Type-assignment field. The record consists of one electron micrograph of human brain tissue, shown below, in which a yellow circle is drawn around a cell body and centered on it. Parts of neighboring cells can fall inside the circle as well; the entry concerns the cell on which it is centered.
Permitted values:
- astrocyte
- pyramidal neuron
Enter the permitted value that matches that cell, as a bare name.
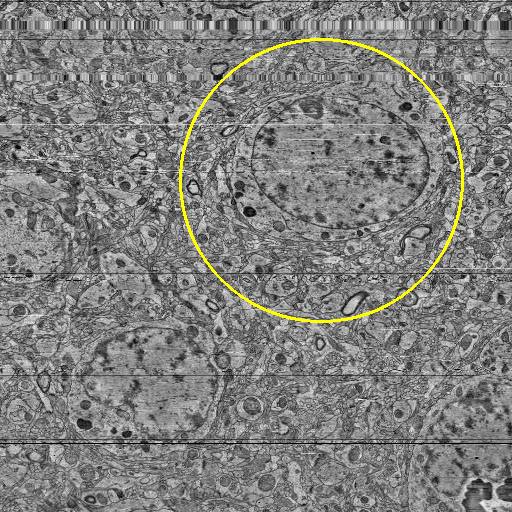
pyramidal neuron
